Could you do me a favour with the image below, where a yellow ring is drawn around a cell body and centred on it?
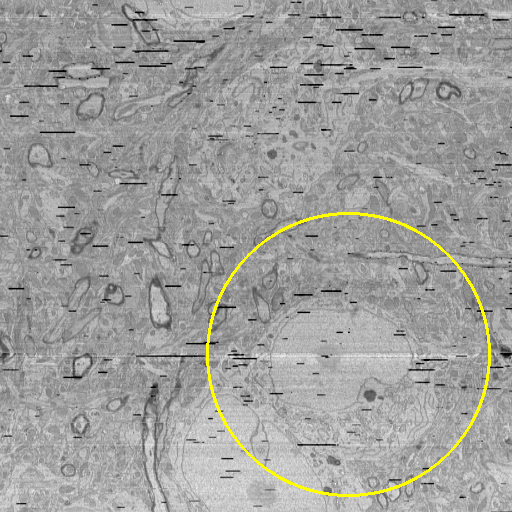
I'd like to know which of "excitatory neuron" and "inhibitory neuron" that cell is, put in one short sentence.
The cell at the ring's centre is an inhibitory neuron.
